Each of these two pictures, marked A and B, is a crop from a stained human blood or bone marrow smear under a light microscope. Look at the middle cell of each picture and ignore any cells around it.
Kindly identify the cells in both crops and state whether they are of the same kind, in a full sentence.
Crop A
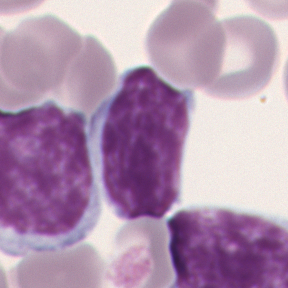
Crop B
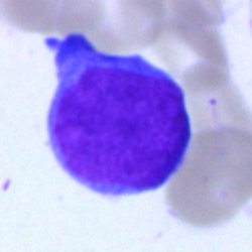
No, what crop A shows is a lymphocyte, and what crop B shows is a blast.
